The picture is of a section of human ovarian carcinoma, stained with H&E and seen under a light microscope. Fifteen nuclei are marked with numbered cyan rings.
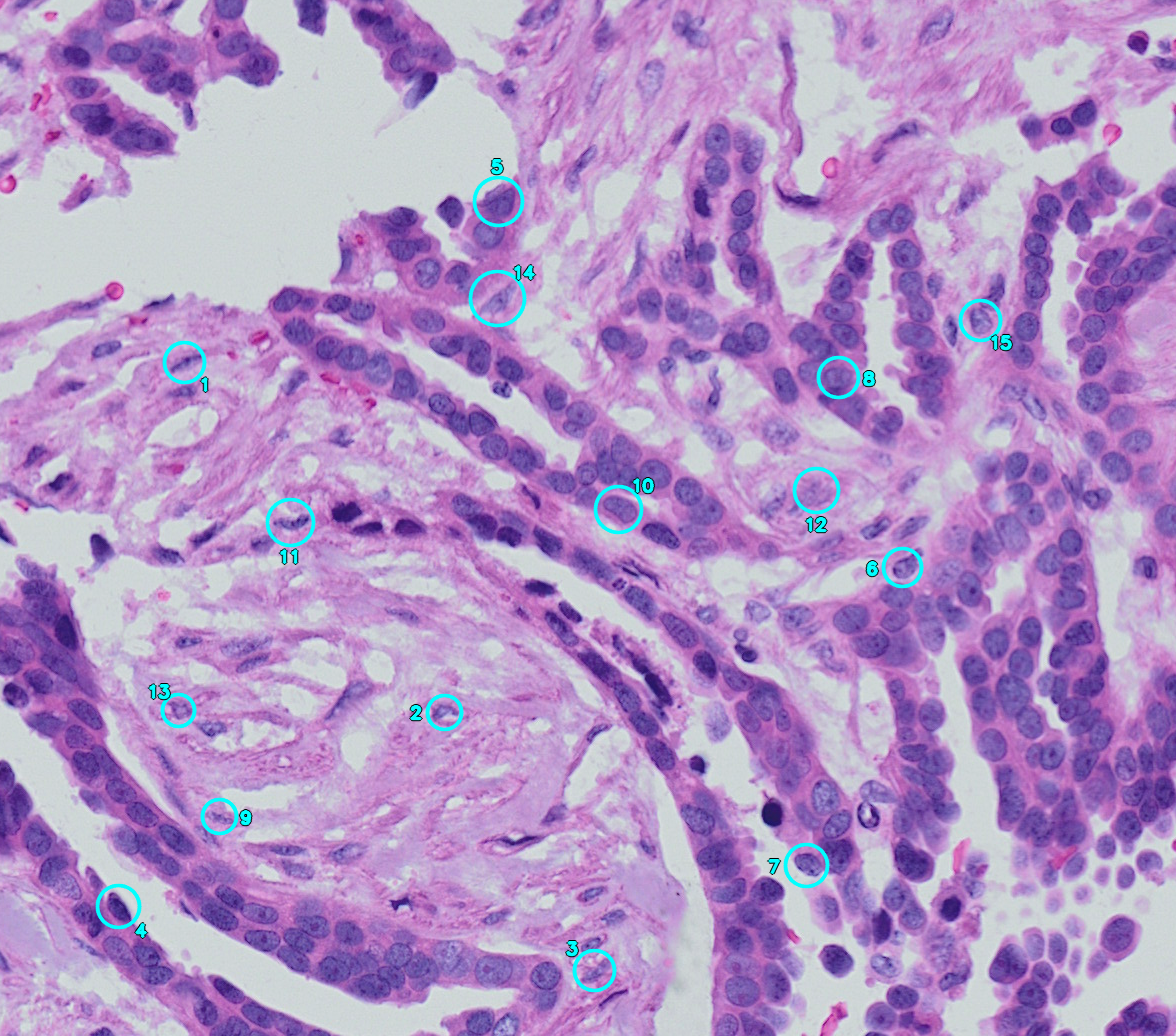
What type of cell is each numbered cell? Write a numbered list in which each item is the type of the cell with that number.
1. fibroblast
2. fibroblast
3. fibroblast
4. carcinoma cell
5. carcinoma cell
6. macrophage or monocyte
7. macrophage or monocyte
8. carcinoma cell
9. fibroblast
10. carcinoma cell
11. macrophage or monocyte
12. fibroblast
13. fibroblast
14. fibroblast
15. fibroblast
